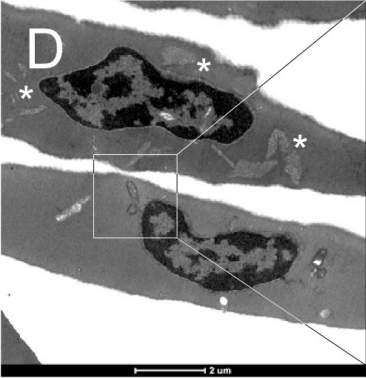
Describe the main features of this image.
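Two elongated nucleated erythrocytes lie side by side, each with an elongated nucleus containing dark, clumped chromatin interspersed with paler areas. The cytoplasm is homogeneous and grey, with a few small scattered membrane-bound profiles and faint irregular membranous areas.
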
